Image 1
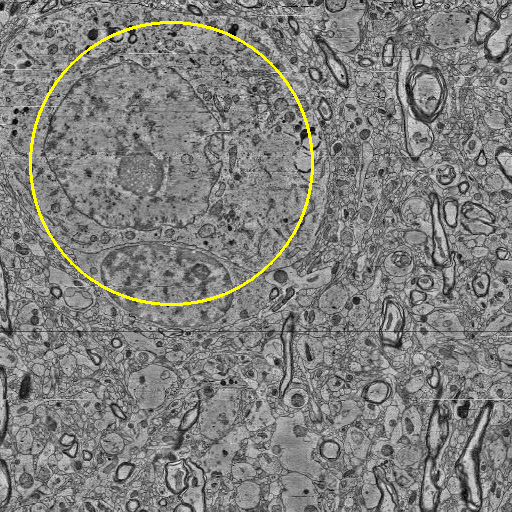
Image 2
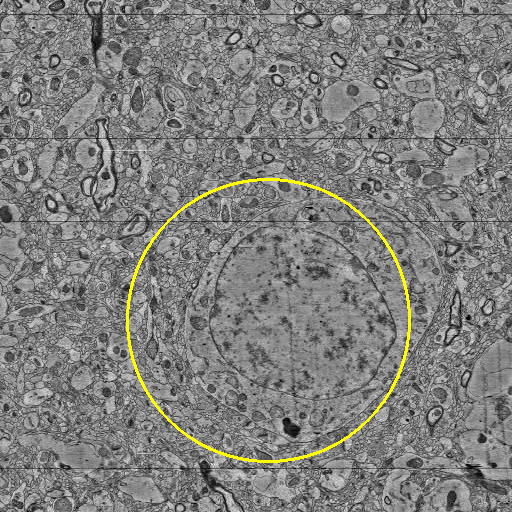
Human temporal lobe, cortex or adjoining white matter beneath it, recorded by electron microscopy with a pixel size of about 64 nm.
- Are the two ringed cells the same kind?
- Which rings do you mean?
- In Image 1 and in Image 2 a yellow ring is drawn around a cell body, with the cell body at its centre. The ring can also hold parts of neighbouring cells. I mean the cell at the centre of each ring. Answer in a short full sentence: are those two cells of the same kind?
Yes, both cells are of the same kind.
